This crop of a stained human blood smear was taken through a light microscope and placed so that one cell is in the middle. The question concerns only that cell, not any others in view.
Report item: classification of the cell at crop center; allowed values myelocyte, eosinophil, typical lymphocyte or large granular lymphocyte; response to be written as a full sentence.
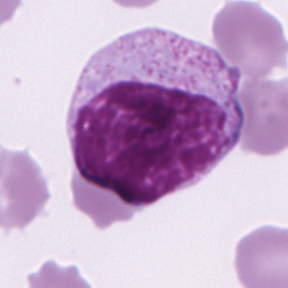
The centrally positioned cell in the crop represents a myelocyte.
